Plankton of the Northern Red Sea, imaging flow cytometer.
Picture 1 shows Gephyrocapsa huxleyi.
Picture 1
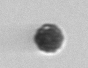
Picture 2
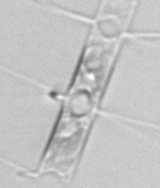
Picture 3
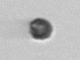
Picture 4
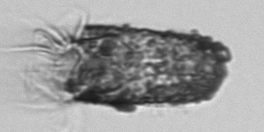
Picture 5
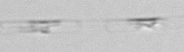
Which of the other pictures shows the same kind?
Picture 3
